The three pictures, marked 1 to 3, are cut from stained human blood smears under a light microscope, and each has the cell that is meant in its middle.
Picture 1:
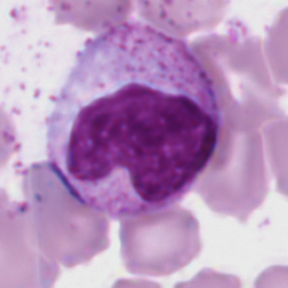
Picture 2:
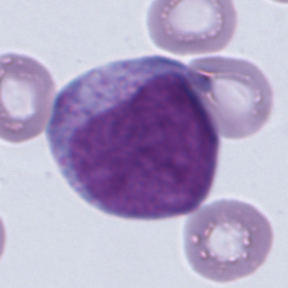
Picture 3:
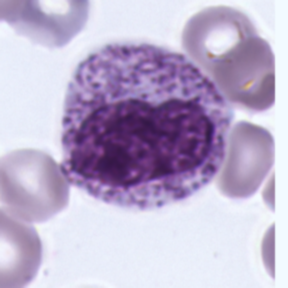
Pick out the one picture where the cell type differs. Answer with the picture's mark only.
2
